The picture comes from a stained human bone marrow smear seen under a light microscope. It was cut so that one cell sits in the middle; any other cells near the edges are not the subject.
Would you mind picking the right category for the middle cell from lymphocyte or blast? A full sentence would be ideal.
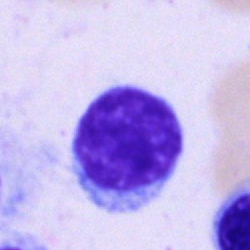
The cell occupying the middle of the crop is a lymphocyte.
